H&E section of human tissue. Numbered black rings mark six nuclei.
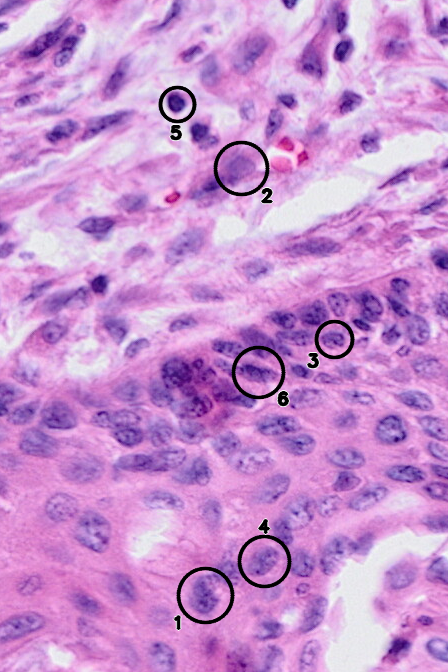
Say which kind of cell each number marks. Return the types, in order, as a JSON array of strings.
["squamous carcinoma cell", "endothelial cell", "squamous carcinoma cell", "squamous carcinoma cell", "lymphocyte", "squamous carcinoma cell"]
